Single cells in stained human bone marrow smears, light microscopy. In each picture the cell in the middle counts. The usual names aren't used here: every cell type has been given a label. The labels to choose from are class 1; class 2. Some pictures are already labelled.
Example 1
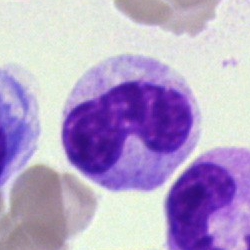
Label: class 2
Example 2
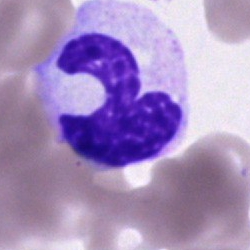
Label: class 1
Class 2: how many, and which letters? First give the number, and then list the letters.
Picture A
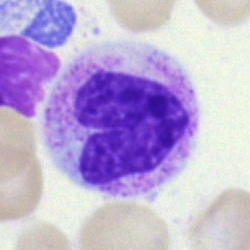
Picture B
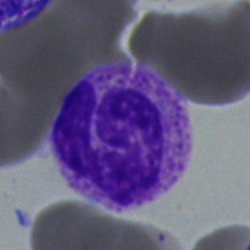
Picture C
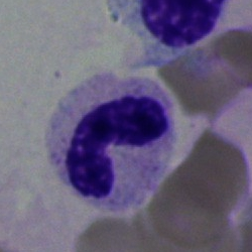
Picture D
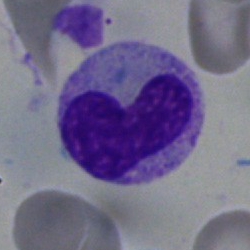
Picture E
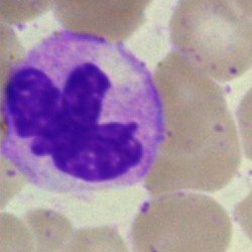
4: A, B, C, D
